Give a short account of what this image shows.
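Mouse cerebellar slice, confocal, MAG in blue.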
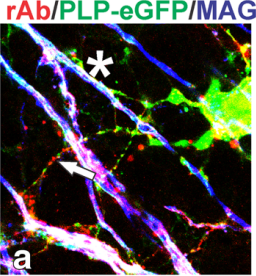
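A bright green cell body lies at the upper right, with thin, beaded green processes leaving it. Long, straight, thicker fibres in blue run diagonally in parallel bundles, appearing white where all colours overlap. Red puncta decorate both the thin processes and the thick fibres.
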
